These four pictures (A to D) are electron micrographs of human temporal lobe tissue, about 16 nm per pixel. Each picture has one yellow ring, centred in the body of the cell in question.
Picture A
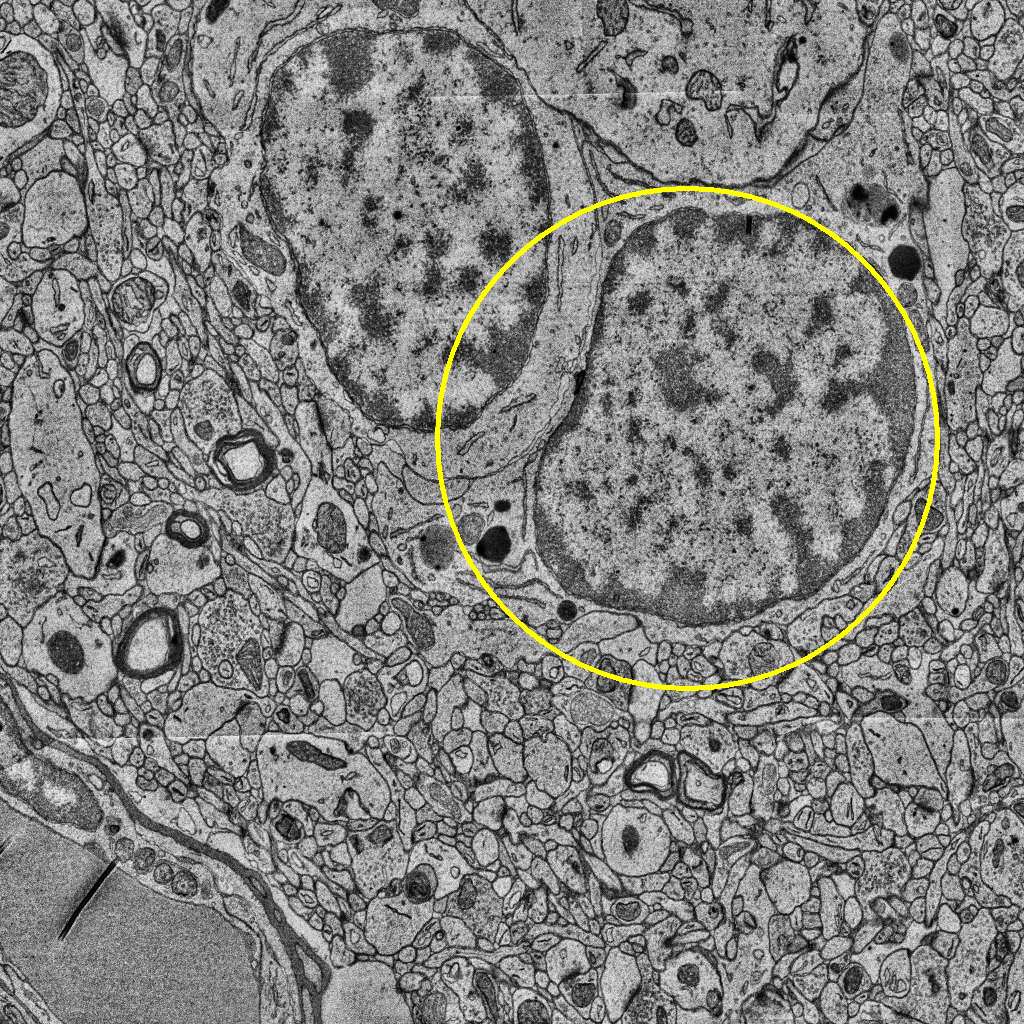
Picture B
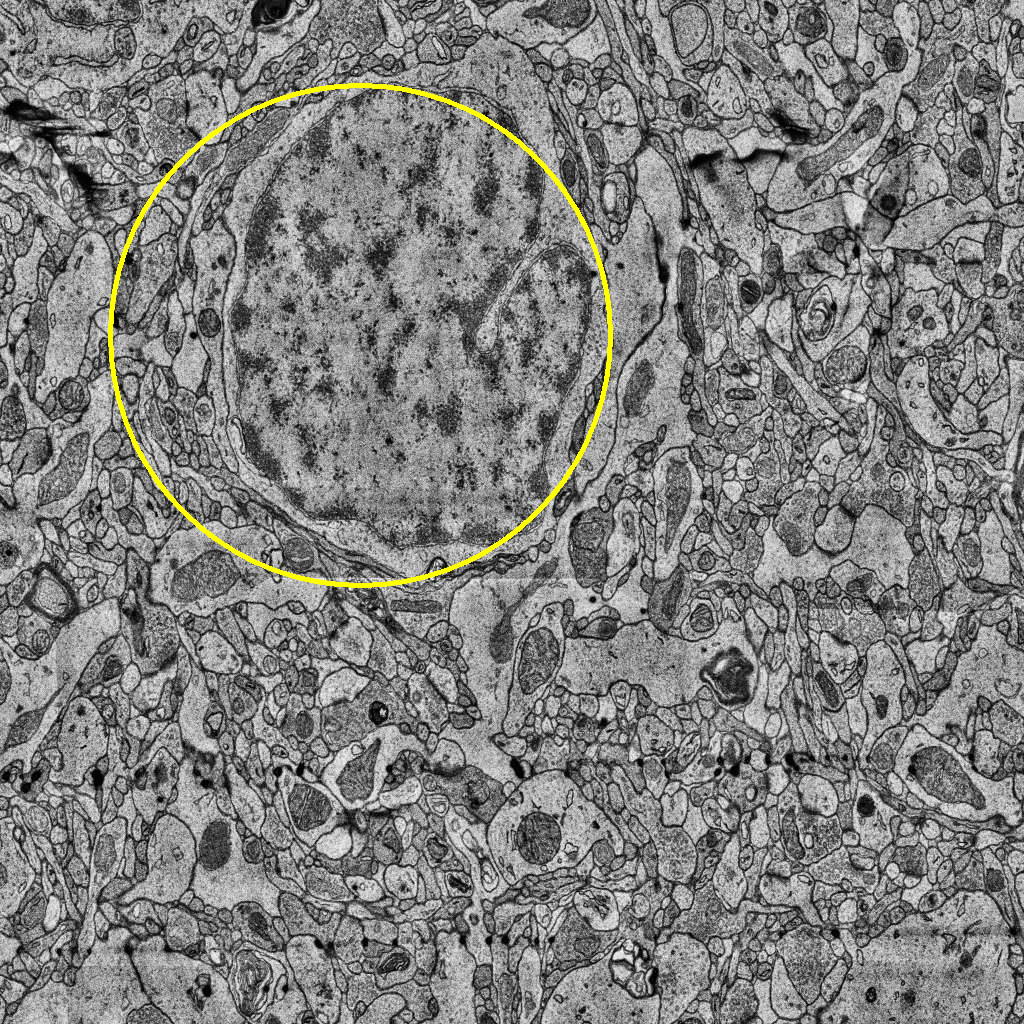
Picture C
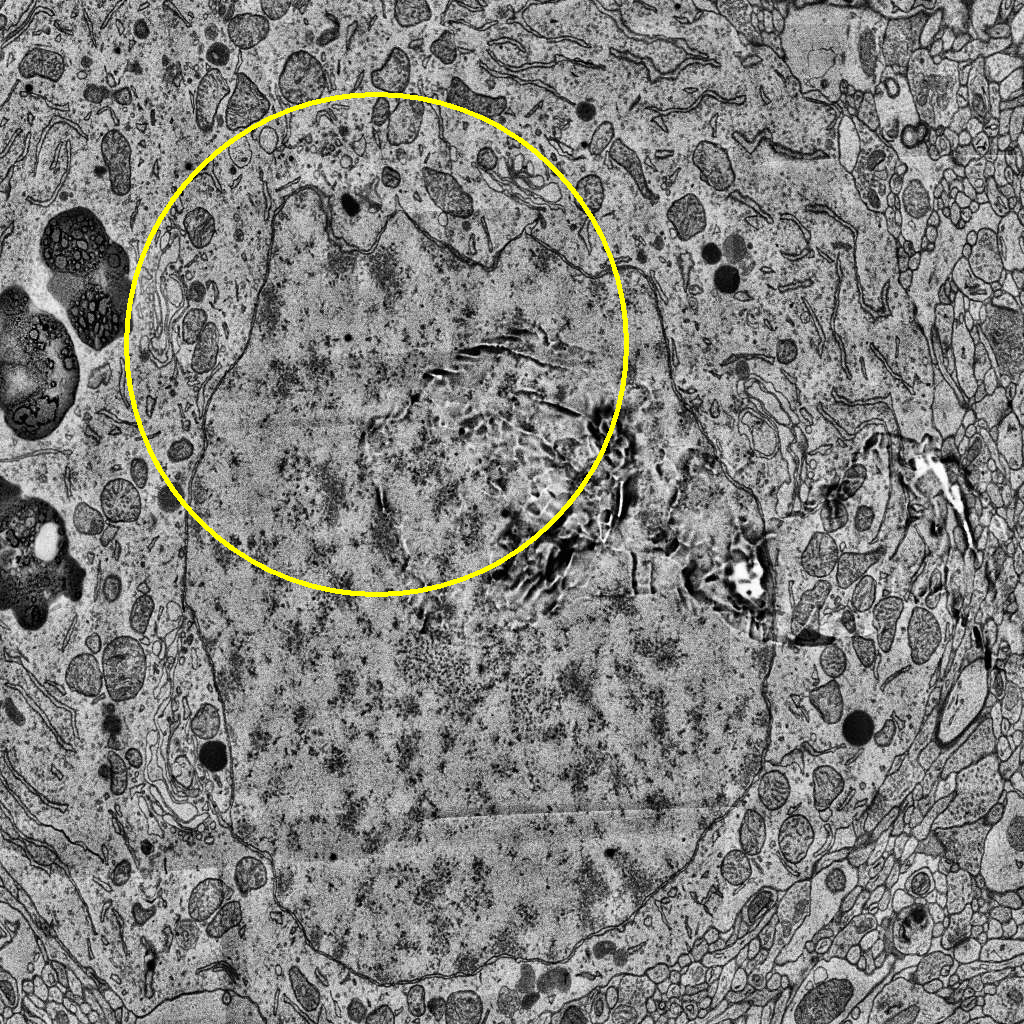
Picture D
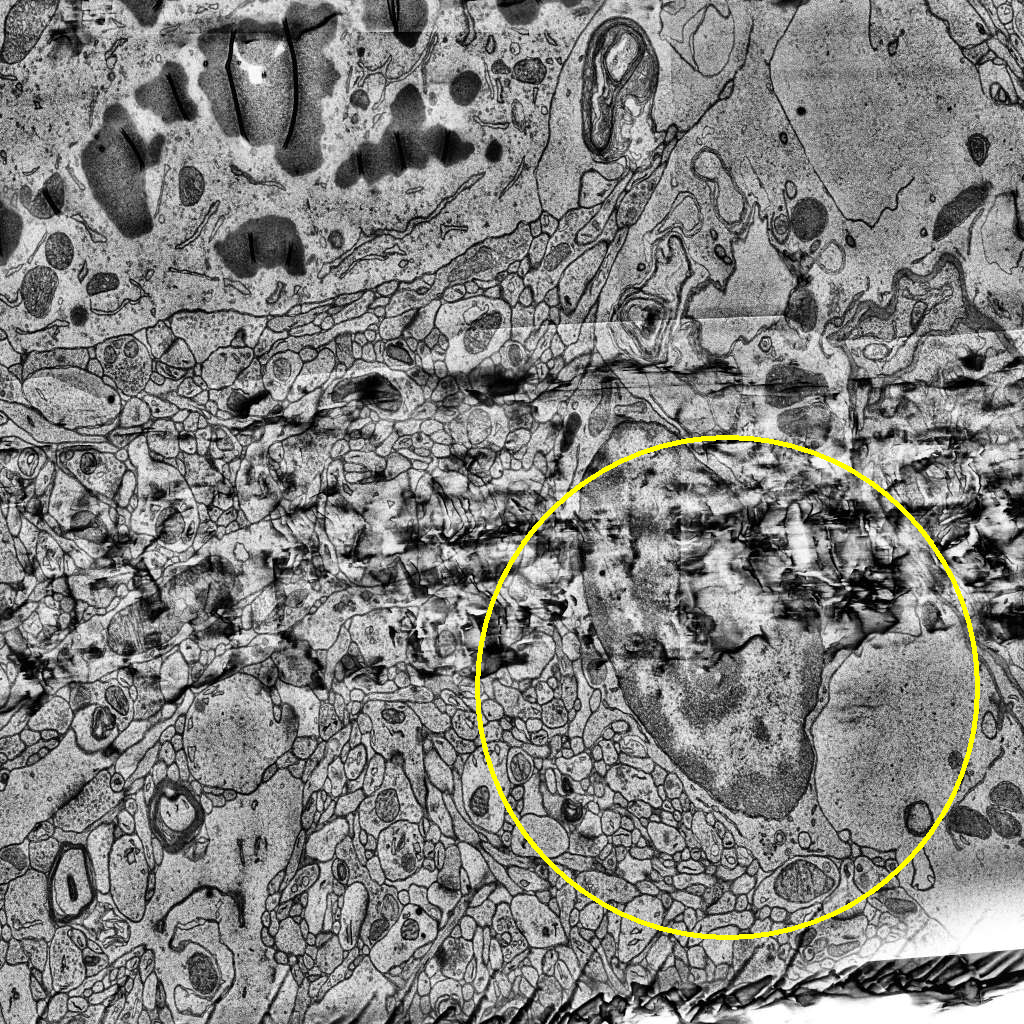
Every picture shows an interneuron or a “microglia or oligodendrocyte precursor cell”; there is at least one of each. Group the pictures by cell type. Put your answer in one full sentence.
Picture C shows an interneuron; pictures A, B and D show “microglia or oligodendrocyte precursor cells”.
